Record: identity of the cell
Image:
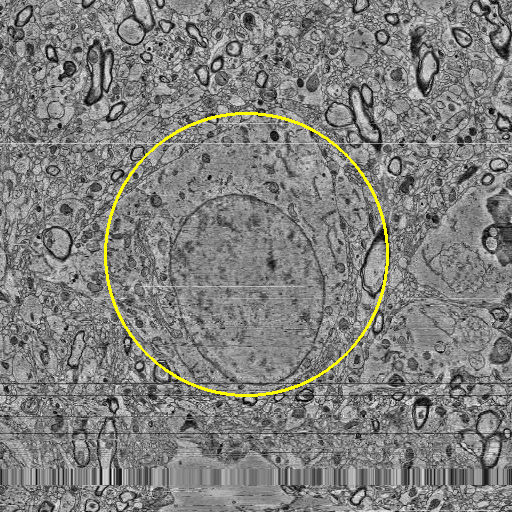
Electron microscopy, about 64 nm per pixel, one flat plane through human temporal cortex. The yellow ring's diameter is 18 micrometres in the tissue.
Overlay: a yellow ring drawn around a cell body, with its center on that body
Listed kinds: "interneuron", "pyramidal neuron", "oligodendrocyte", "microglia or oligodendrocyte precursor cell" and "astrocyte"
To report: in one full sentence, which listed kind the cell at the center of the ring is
In the image, the cell body at the ring's center belongs to a pyramidal neuron.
